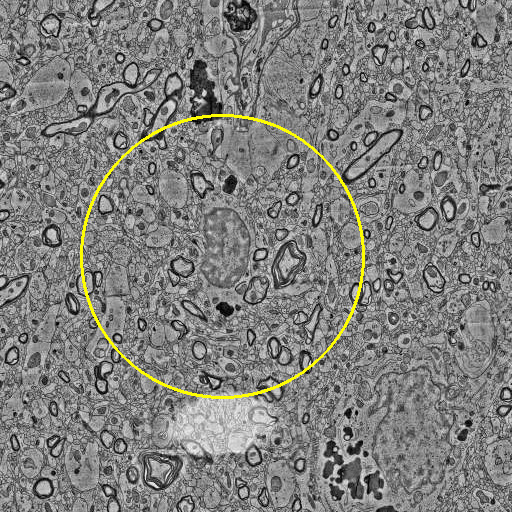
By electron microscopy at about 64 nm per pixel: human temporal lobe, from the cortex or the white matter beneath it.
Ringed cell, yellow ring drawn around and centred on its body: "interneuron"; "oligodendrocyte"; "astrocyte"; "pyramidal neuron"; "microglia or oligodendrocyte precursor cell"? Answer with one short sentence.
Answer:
This ringed cell is an oligodendrocyte.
